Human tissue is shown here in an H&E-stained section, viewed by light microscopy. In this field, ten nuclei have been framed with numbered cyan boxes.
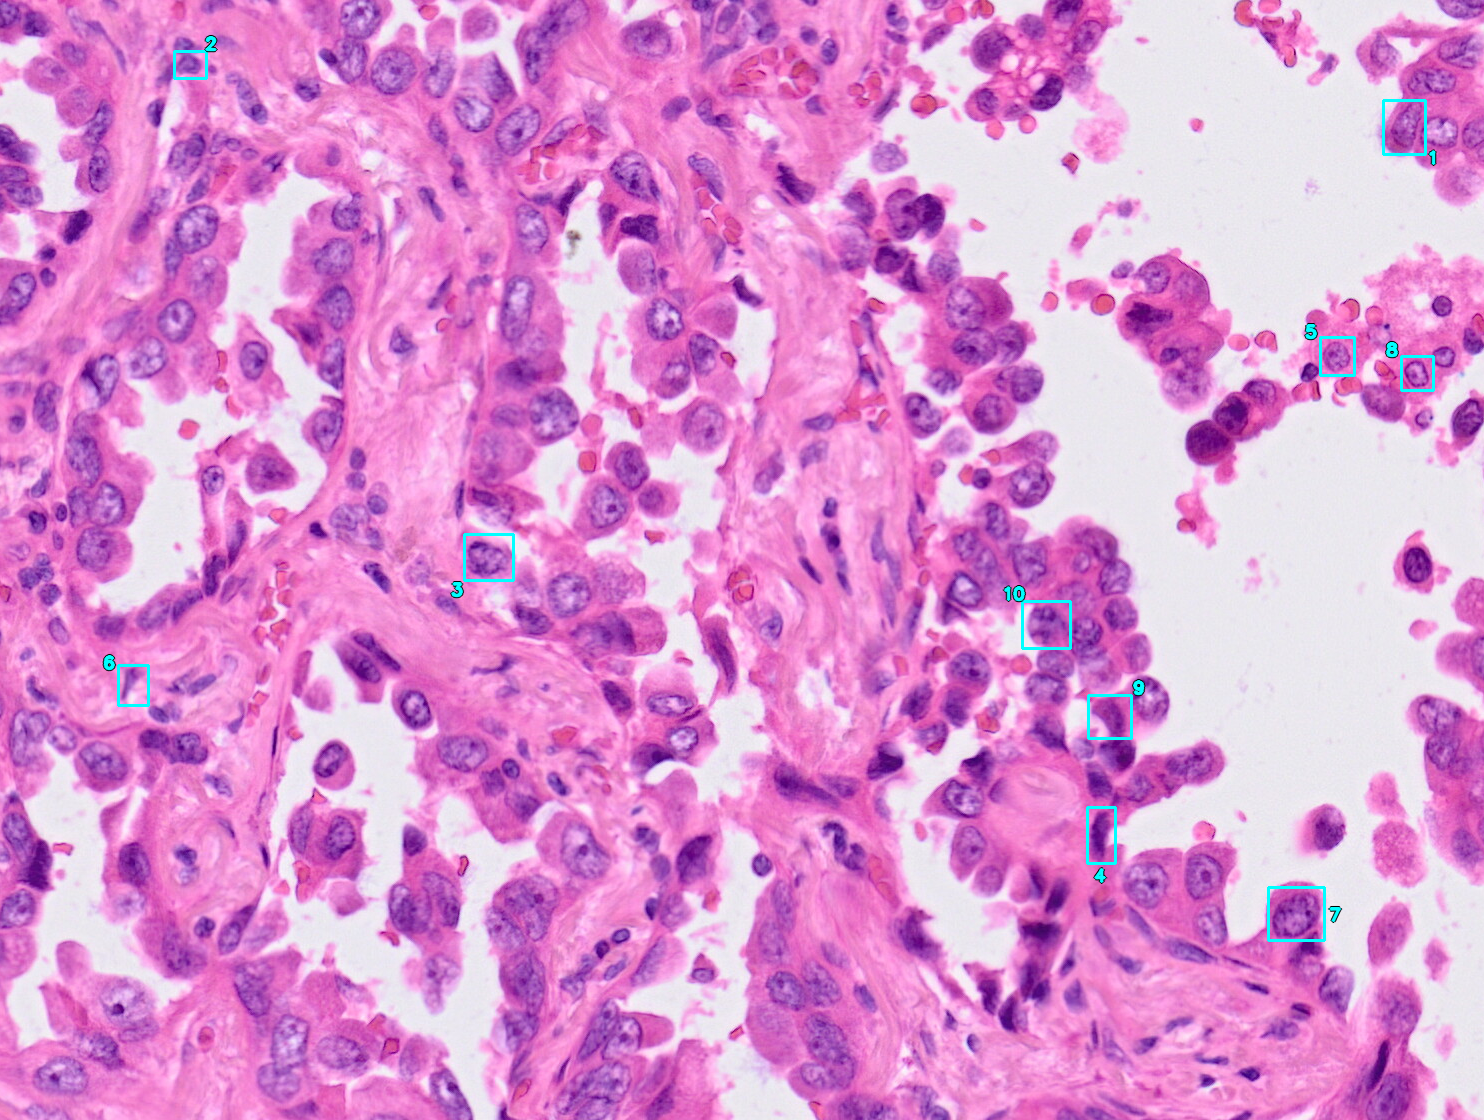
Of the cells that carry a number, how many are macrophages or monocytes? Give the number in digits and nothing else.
2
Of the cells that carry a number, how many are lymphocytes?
1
